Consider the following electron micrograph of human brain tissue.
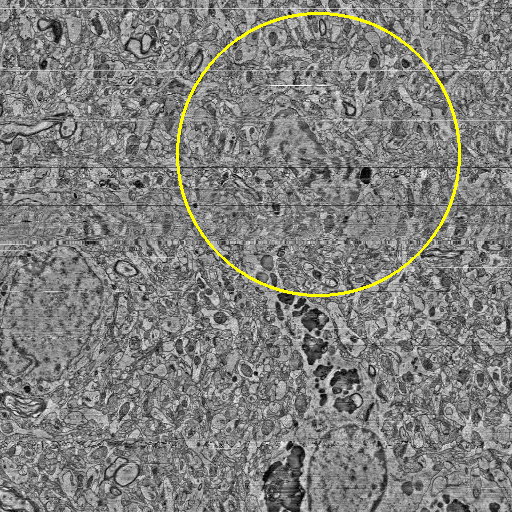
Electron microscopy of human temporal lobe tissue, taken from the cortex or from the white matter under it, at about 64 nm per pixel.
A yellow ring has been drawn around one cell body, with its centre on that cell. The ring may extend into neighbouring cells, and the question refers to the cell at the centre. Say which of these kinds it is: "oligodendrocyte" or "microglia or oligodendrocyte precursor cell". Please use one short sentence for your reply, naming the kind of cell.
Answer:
The centre of the ring falls on a microglial cell or oligodendrocyte precursor cell.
